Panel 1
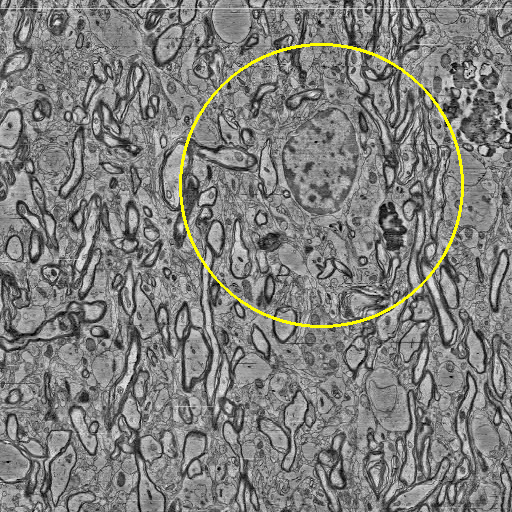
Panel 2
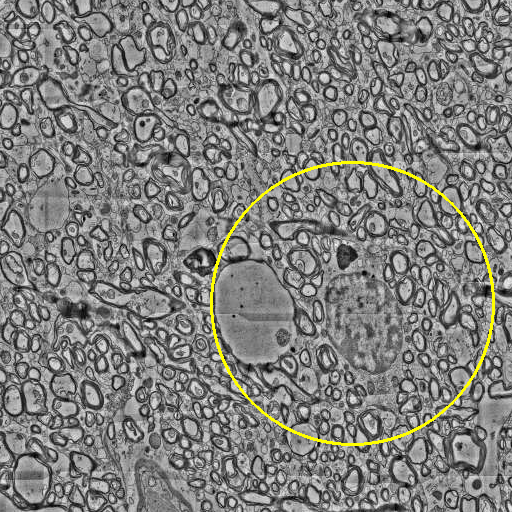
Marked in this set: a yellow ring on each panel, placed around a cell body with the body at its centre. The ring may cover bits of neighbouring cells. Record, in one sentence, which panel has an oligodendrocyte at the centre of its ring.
Panel 2 has it at the centre of its ring.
